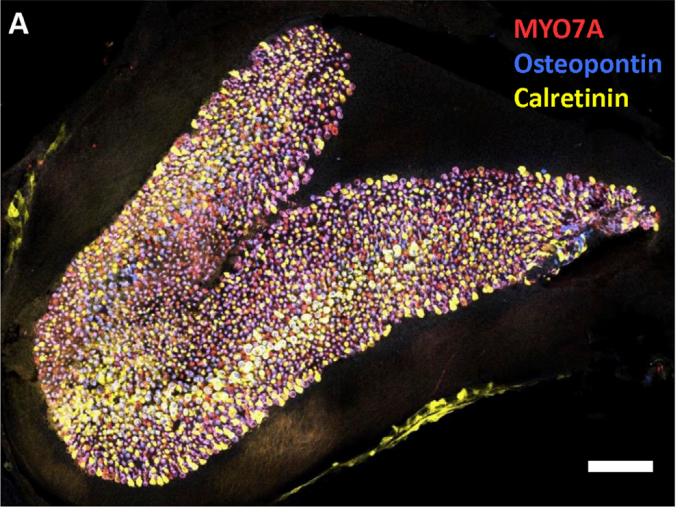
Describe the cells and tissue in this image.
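Whole-mount view of a vestibular macula, a broad, bent sheet of sensory epithelium crowded with thousands of small rounded hair cells. Most cells appear red to purple, with many bright yellow cells concentrated in a band through the sheet and scattered bluish cells among them. The epithelium has a notch dividing it into two lobes at one end.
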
